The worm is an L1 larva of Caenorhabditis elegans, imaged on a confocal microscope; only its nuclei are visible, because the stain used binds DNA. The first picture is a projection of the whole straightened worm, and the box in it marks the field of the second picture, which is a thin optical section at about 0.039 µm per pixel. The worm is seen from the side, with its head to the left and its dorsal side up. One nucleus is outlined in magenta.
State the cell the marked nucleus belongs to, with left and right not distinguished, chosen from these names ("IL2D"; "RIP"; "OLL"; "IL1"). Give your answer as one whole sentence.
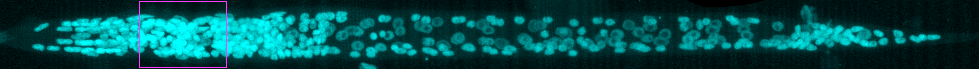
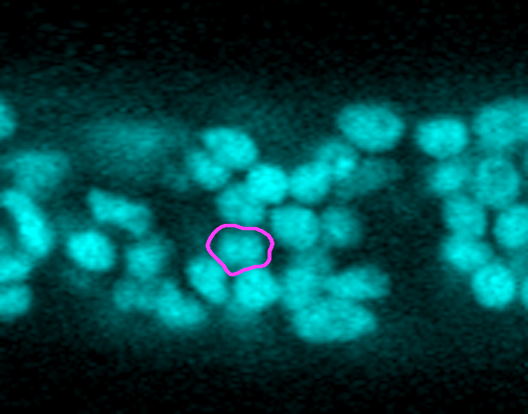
The marked nucleus is that of IL1, a neuron.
